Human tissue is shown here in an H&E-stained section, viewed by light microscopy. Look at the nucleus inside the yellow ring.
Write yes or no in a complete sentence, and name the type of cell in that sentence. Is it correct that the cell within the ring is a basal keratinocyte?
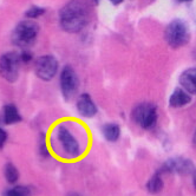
No, the cell within the ring is to be identified as a mast cell, not a basal keratinocyte.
